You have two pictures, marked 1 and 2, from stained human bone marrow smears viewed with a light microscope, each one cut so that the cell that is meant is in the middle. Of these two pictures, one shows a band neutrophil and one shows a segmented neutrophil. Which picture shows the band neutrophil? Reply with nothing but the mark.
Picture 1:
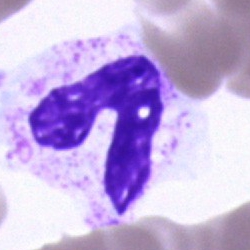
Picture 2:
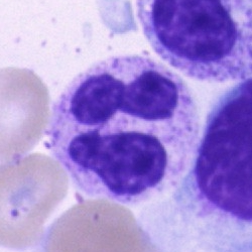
1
